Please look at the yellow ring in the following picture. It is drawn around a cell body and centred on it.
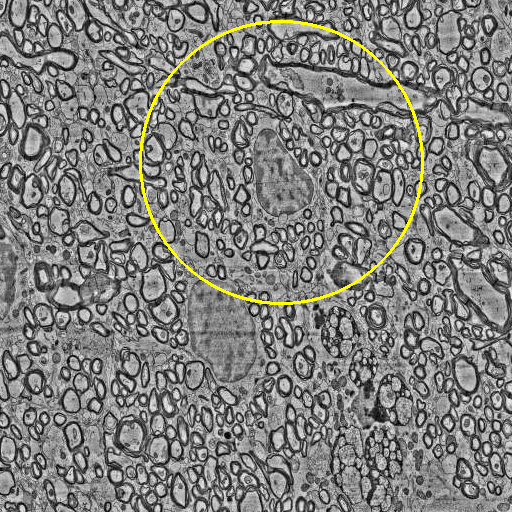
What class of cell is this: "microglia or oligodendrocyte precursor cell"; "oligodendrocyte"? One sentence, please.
The ring surrounds the cell body of a microglial cell or oligodendrocyte precursor cell.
